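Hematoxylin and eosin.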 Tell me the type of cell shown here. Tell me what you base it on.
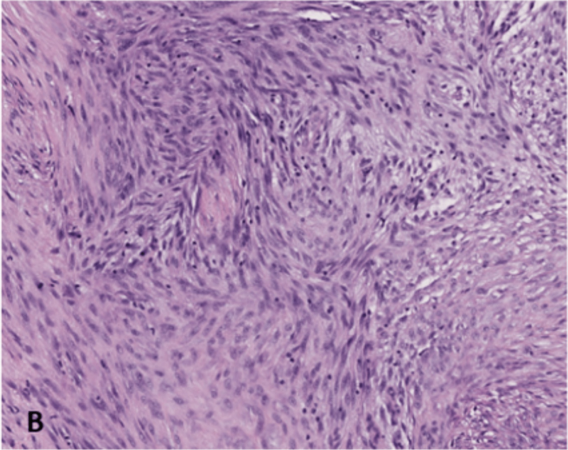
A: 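Spindle cells. Densely packed cells with elongated, tapered nuclei. Cells run in interlacing bundles and whorls.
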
